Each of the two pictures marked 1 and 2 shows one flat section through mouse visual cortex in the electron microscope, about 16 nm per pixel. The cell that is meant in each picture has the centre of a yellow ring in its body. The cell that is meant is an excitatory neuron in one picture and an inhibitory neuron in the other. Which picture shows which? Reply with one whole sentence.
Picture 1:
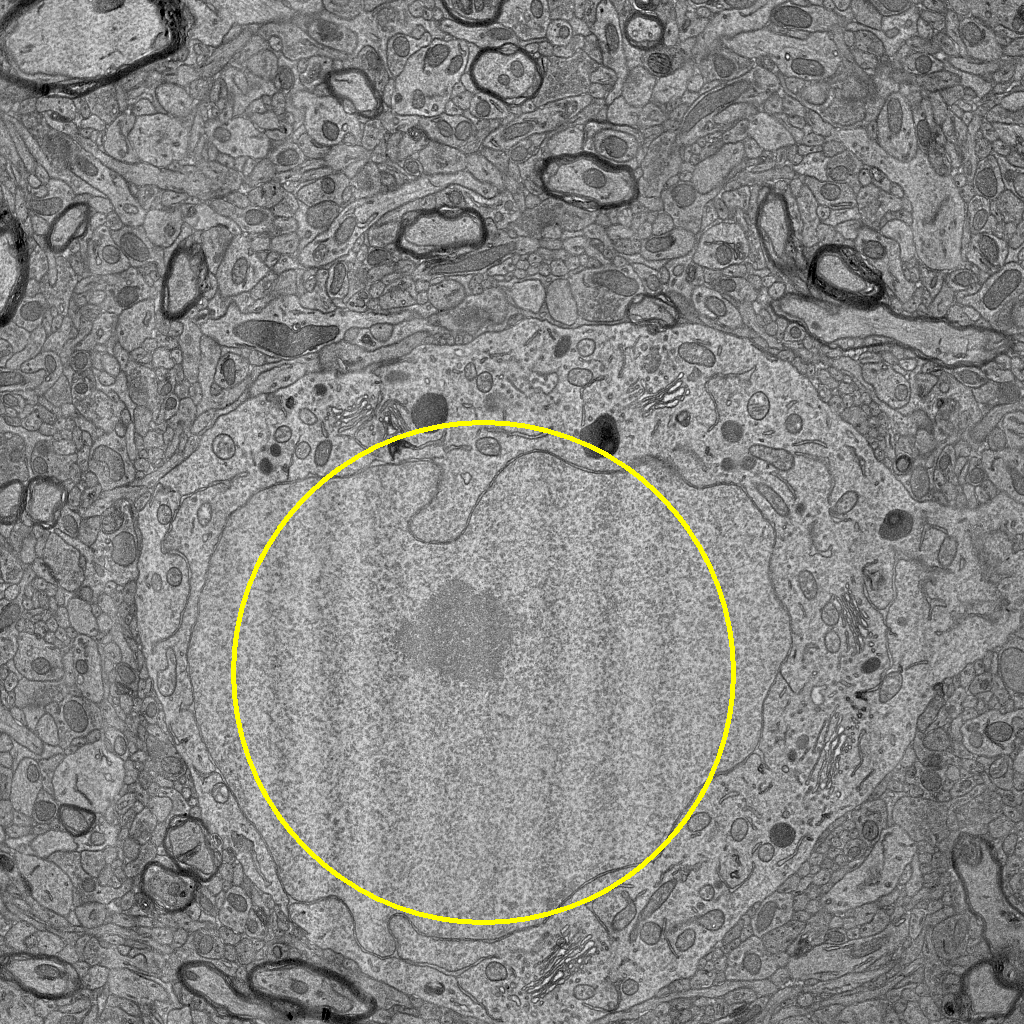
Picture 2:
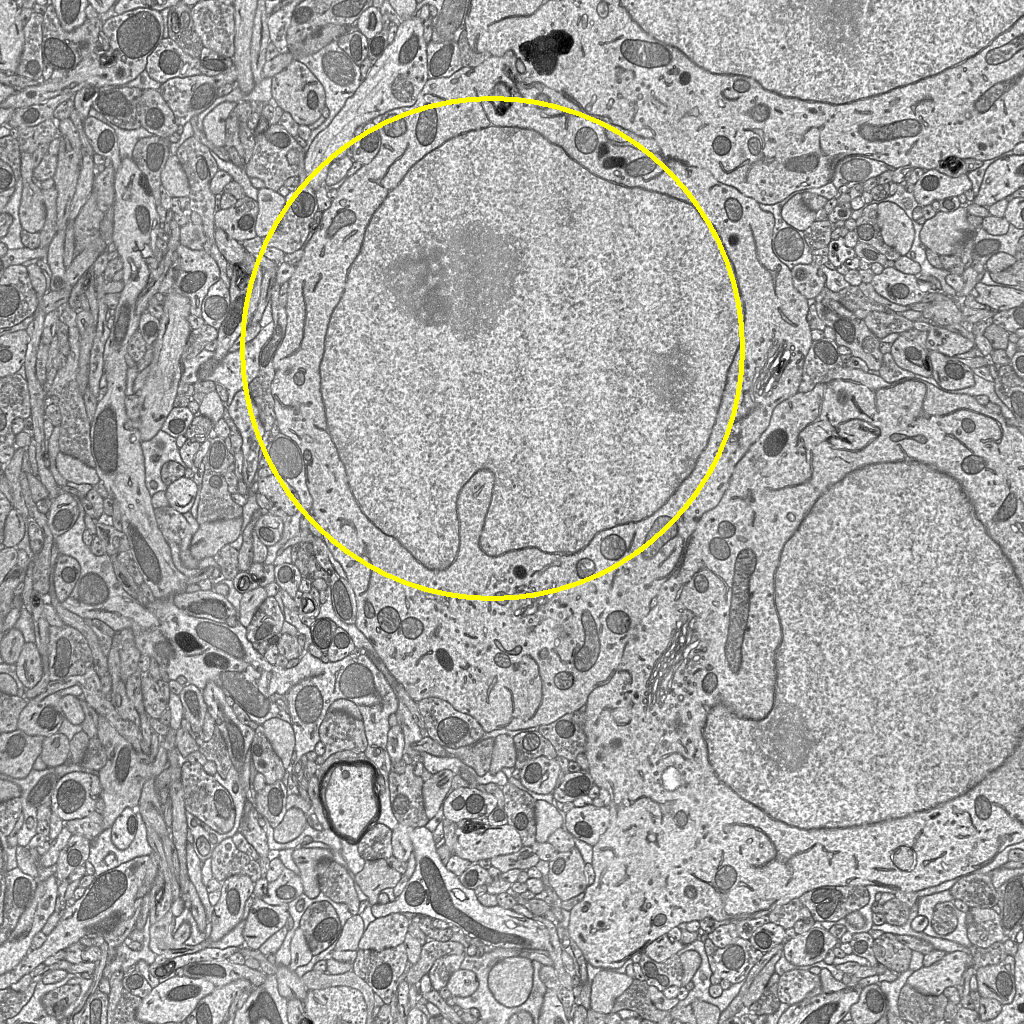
Picture 1 shows an inhibitory neuron and picture 2 shows an excitatory neuron.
